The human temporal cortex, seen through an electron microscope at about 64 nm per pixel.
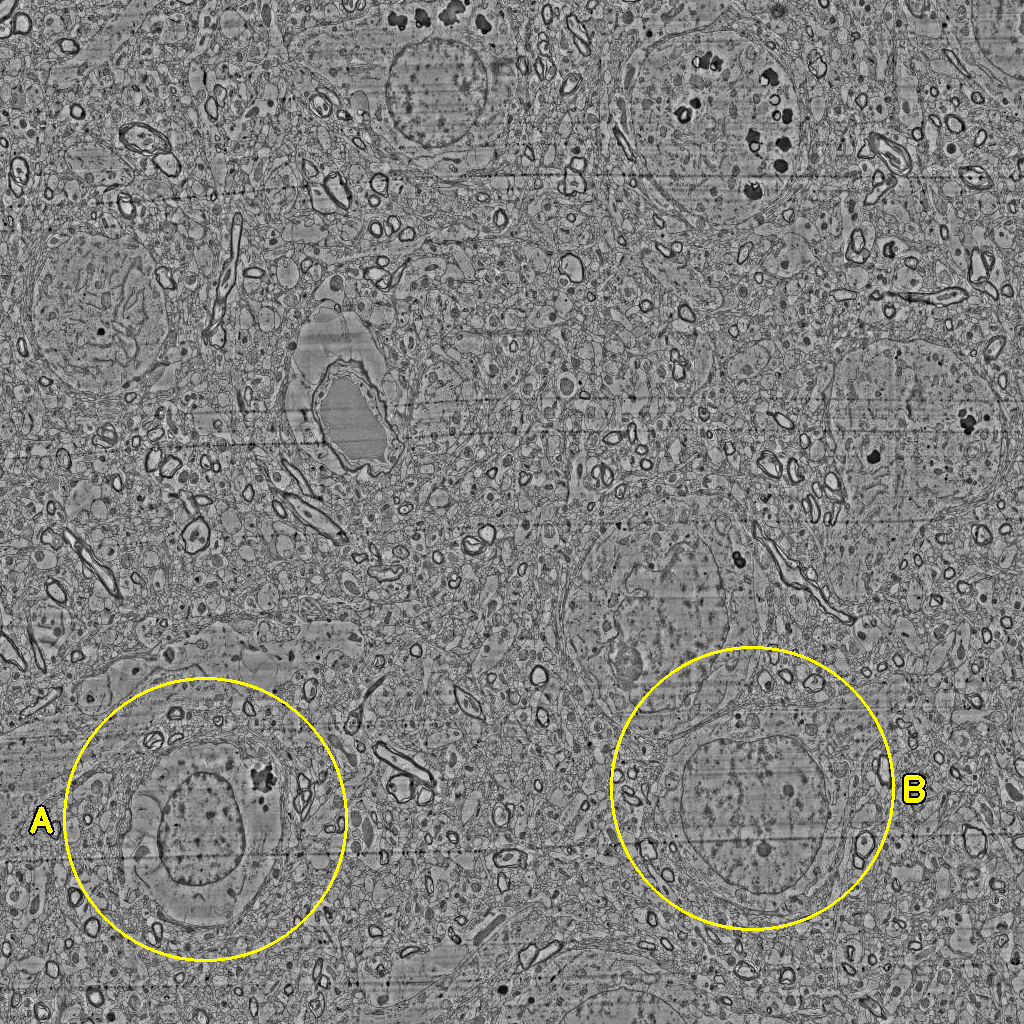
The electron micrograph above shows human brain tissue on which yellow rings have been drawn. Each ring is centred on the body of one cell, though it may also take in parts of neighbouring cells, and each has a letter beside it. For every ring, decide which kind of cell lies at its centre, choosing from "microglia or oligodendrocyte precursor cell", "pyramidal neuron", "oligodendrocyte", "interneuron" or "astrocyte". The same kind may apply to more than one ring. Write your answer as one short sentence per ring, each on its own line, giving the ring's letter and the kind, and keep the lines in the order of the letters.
Ring A is centred on an astrocyte.
Ring B is centred on a pyramidal neuron.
